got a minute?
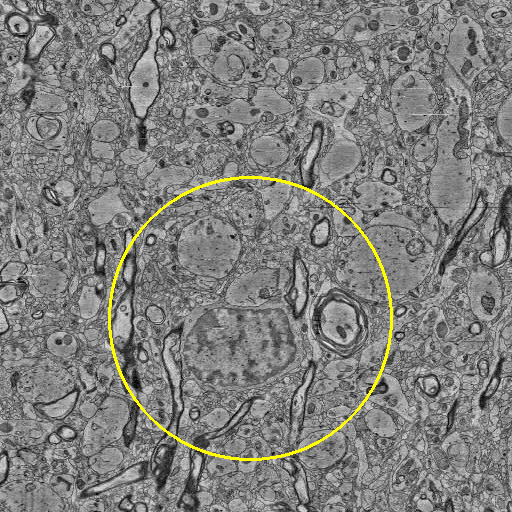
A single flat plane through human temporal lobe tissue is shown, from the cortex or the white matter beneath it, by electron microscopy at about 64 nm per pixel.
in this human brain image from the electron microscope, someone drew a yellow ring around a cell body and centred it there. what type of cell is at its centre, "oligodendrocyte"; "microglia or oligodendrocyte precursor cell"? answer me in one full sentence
It's an oligodendrocyte at the middle of that yellow ring in the shot.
